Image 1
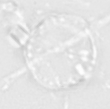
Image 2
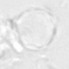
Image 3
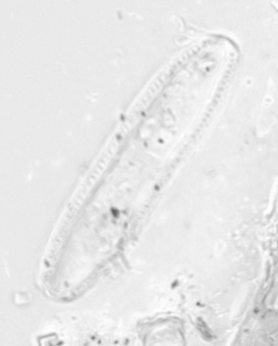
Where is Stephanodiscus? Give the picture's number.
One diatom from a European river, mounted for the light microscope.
1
